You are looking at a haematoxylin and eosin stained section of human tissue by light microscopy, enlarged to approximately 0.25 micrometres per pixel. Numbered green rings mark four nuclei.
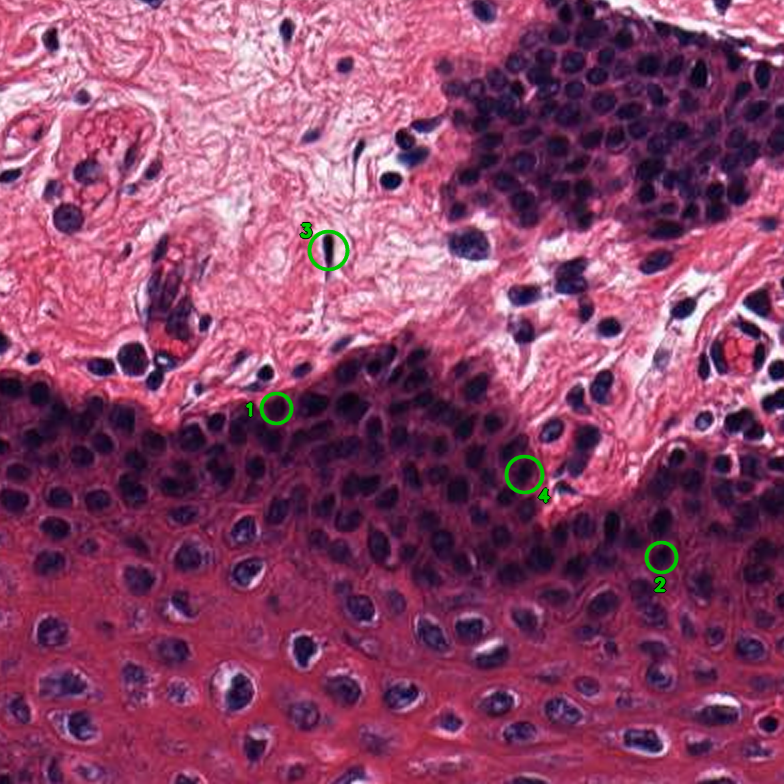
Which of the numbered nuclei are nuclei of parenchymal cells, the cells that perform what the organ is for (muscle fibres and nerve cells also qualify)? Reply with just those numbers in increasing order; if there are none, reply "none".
1, 2, 4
